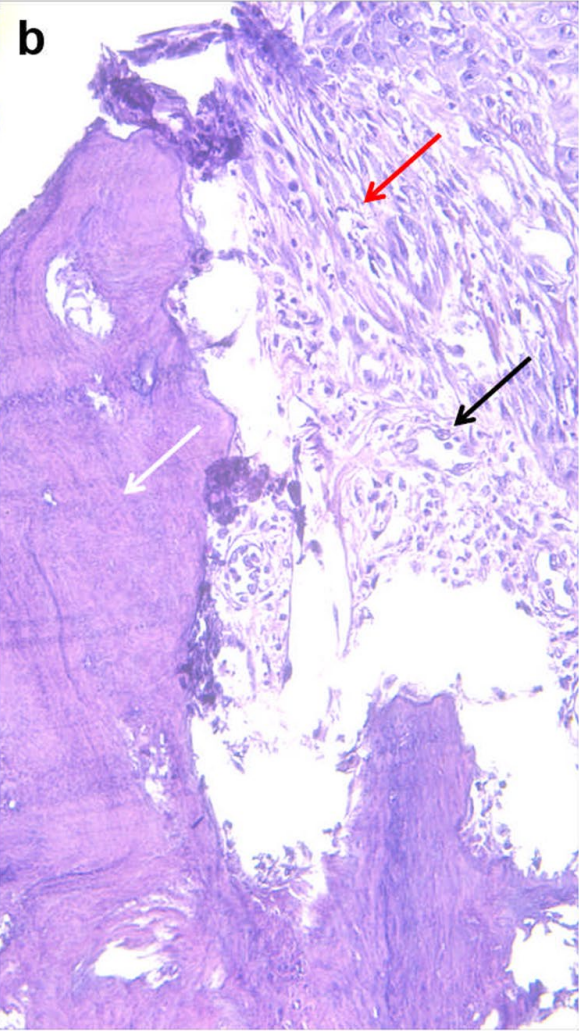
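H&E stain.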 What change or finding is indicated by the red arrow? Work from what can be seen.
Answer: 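Fibrous tissue hyperplasia. The arrow points into many elongated spindle-shaped cells lying in parallel streams. The cells lie in a pale fibrillar background.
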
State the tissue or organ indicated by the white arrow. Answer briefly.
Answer: Bone tissue.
